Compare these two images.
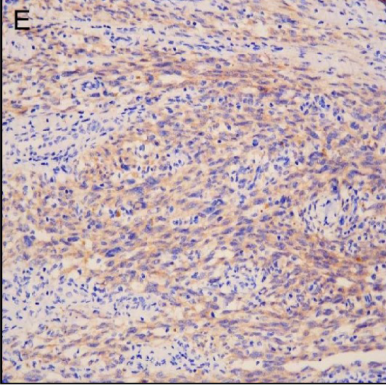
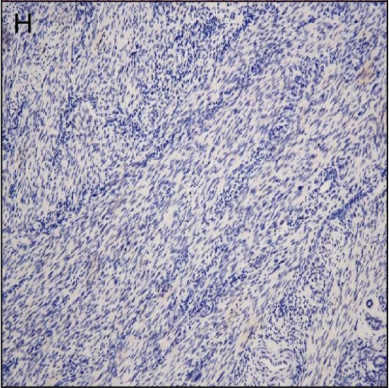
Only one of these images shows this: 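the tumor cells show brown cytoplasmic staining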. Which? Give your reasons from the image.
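The first image. Second image: spindle cells show only blue nuclei with no brown staining. First image: brown staining fills the cytoplasm of many spindle cells.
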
